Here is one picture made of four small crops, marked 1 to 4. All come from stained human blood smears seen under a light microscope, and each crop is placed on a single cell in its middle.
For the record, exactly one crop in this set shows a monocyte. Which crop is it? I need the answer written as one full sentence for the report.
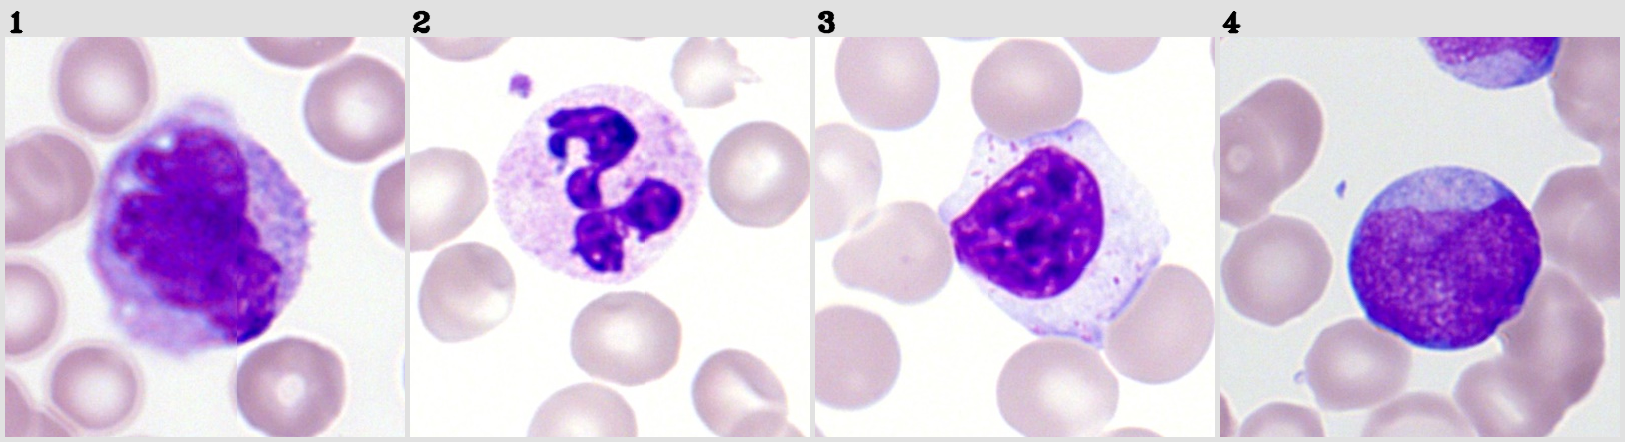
The one showing a monocyte is crop 1.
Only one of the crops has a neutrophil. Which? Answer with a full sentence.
Among these crops, crop 2 holds a neutrophil.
